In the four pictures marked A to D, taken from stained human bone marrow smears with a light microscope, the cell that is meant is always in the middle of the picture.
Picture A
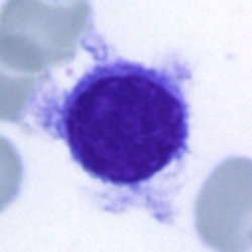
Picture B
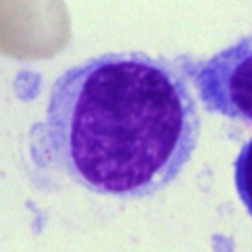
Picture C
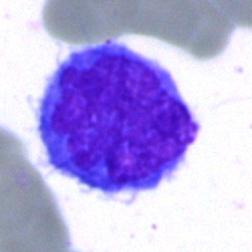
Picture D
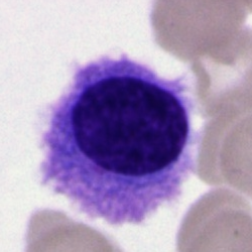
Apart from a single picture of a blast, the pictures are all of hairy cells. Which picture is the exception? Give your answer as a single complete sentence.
The picture with the blast is C.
